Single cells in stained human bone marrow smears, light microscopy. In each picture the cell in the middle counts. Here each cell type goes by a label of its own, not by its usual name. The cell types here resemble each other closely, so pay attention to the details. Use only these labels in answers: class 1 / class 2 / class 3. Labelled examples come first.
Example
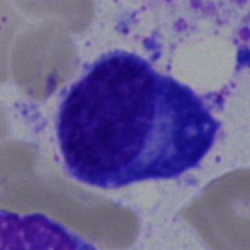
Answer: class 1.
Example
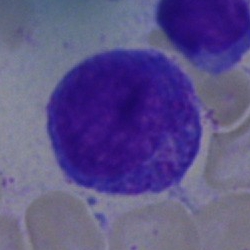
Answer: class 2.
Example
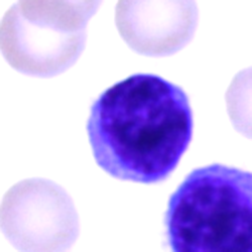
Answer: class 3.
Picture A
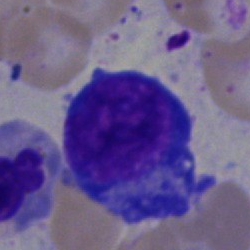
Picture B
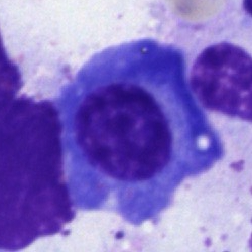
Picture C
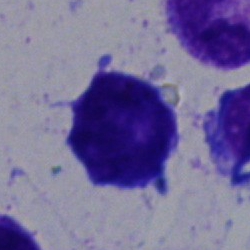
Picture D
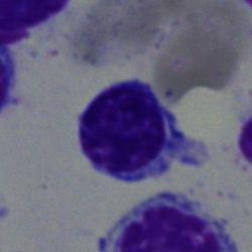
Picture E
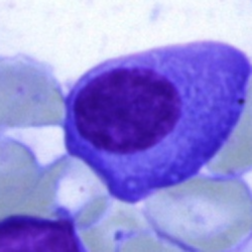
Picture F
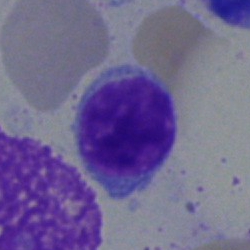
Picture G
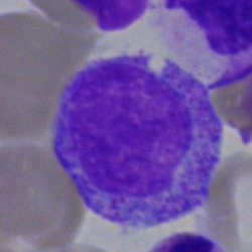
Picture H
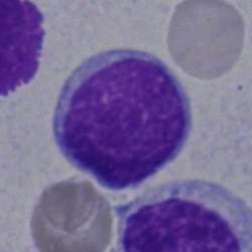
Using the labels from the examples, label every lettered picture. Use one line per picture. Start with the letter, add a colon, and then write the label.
A: class 1.
B: class 1.
C: class 3.
D: class 3.
E: class 1.
F: class 3.
G: class 2.
H: class 3.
